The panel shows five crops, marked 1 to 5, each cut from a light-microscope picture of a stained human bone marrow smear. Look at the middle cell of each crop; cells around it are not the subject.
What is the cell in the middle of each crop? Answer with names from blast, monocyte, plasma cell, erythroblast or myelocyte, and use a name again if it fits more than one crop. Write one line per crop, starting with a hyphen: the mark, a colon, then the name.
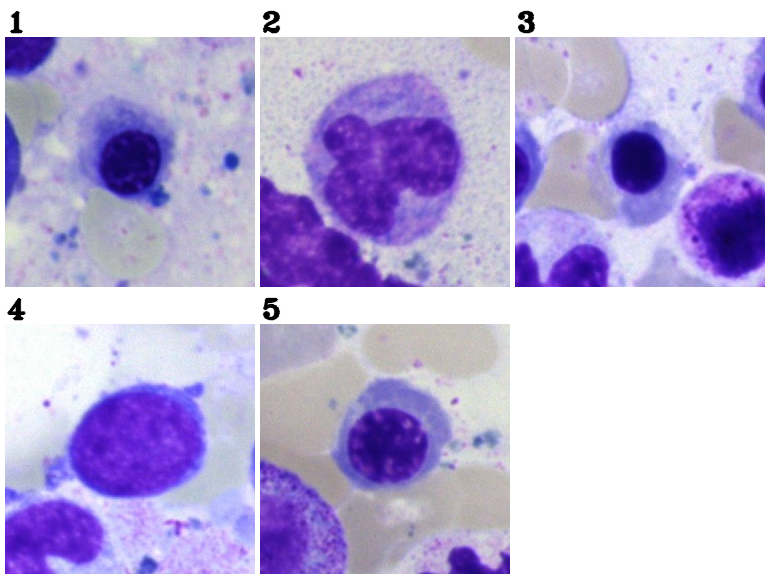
- 1: erythroblast
- 2: monocyte
- 3: erythroblast
- 4: blast
- 5: erythroblast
